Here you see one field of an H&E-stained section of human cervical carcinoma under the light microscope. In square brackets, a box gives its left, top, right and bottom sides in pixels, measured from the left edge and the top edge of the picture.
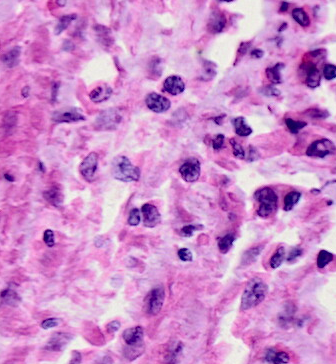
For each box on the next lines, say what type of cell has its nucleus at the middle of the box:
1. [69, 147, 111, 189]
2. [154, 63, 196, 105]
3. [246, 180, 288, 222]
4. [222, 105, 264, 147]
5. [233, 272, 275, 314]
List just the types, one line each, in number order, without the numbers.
macrophage or monocyte
lymphocyte
macrophage or monocyte
lymphocyte
macrophage or monocyte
